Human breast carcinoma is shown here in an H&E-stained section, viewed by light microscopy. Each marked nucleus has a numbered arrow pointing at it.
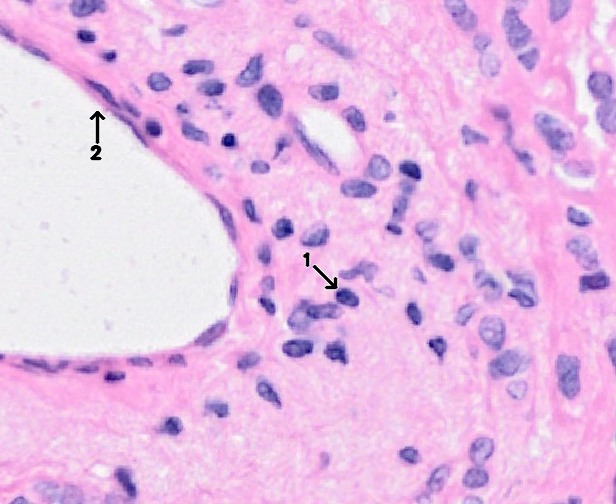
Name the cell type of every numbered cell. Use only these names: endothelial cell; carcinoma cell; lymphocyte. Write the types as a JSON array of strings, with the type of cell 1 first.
["lymphocyte", "endothelial cell"]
